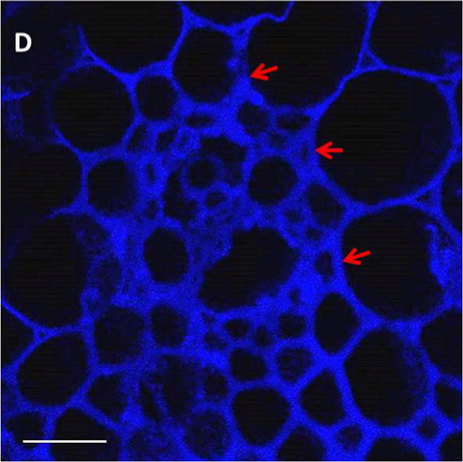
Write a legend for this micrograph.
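The cells vary widely in size, the largest lying at the right edge. Some lumens hold faint, patchy blue material.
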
